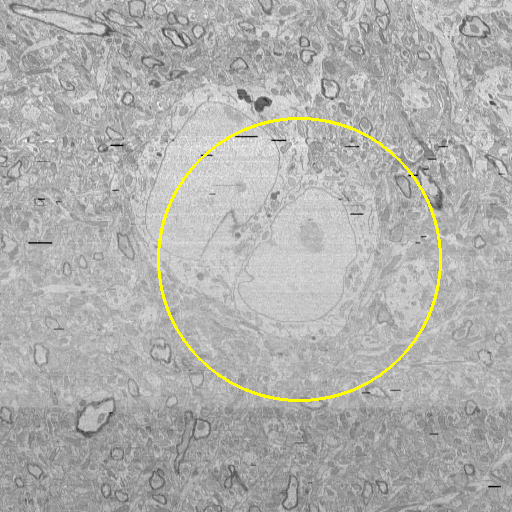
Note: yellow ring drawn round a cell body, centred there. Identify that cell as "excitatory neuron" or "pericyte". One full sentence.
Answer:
The cell in the middle of the ring is an excitatory neuron.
